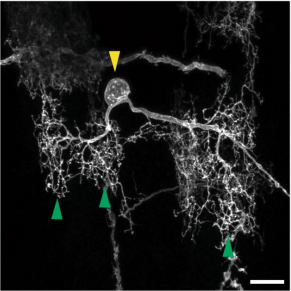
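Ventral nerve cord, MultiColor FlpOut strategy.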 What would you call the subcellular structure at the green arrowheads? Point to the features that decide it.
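The green arrowheads point to dense clusters of fine branches. The branched clusters lie below and to the side of the labeled cell body. So: dendritic arrays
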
